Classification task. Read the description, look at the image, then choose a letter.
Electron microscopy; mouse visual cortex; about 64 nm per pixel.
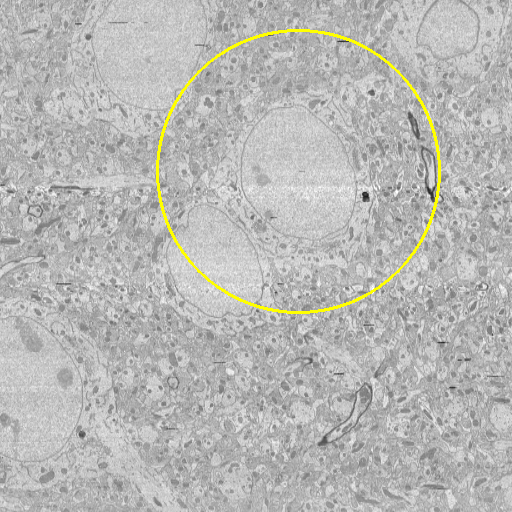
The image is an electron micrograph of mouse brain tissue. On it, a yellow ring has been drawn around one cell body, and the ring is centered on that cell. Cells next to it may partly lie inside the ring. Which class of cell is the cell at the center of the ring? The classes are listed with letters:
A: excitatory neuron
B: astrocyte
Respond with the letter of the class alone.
A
